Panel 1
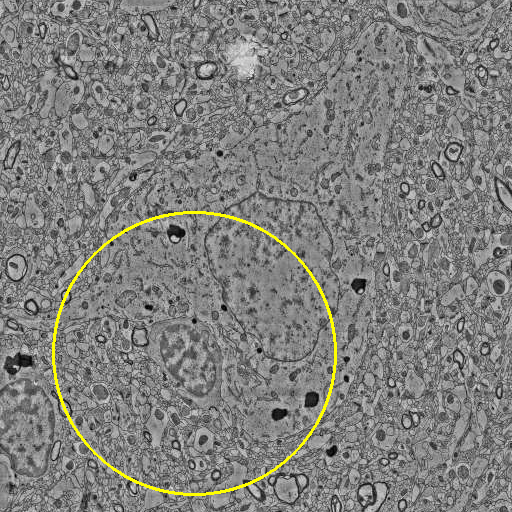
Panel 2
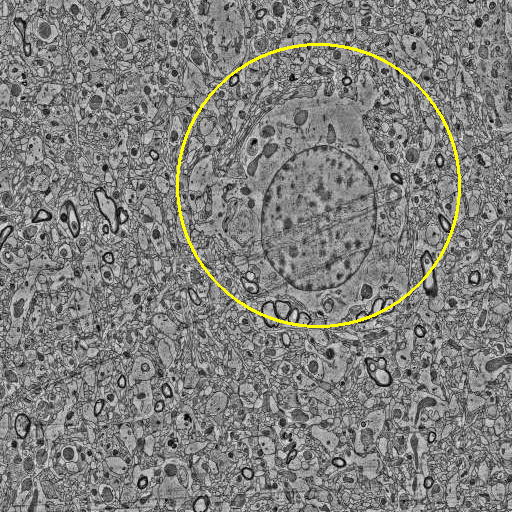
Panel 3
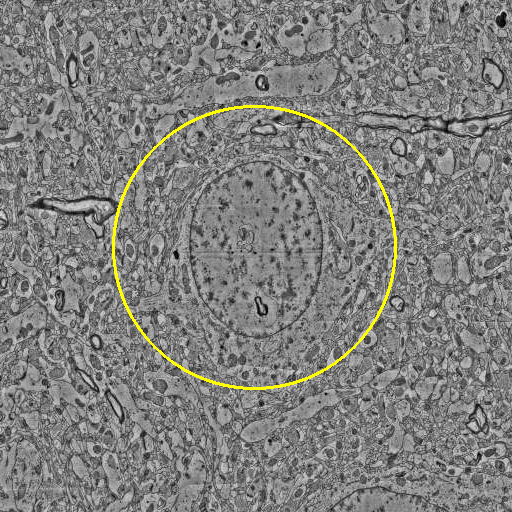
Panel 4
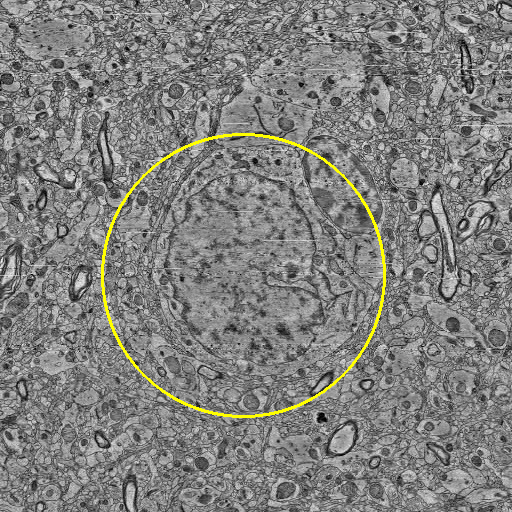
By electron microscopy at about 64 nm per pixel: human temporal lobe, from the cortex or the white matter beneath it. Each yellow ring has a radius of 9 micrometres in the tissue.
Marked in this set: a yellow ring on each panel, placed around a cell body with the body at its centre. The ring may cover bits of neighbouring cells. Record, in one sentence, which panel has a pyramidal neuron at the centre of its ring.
Panel 3 has it at the centre of its ring.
